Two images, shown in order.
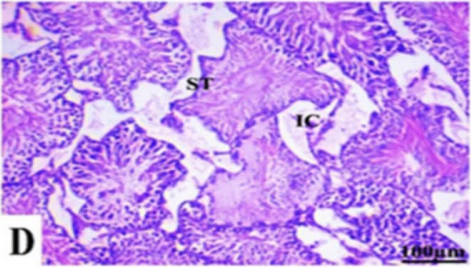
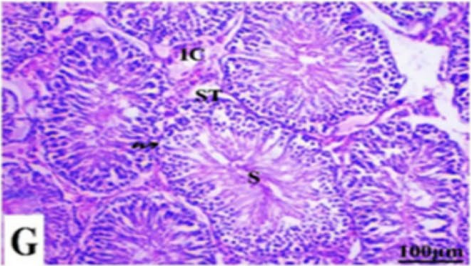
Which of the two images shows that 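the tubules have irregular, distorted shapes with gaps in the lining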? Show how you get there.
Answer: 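The first image. Second image: tubules are rounded, closely packed, with orderly layers of cells and tails in the lumen. First image: tubules are misshapen, separated by wide clear spaces, and their cell layers are disorganised.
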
